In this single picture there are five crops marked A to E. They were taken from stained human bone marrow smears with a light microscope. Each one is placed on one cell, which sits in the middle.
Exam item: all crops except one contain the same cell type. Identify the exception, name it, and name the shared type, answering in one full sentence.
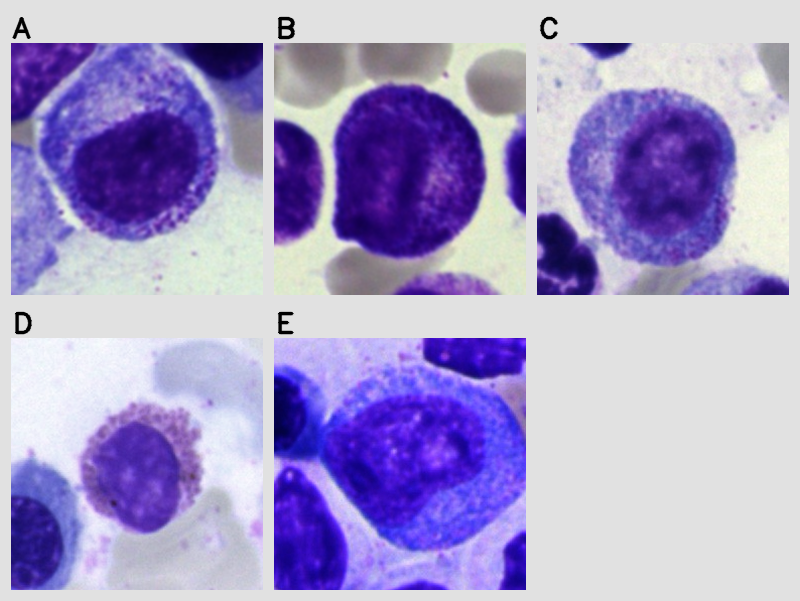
In crop D the central cell is an eosinophil, whereas the other crops all contain promyelocytes.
